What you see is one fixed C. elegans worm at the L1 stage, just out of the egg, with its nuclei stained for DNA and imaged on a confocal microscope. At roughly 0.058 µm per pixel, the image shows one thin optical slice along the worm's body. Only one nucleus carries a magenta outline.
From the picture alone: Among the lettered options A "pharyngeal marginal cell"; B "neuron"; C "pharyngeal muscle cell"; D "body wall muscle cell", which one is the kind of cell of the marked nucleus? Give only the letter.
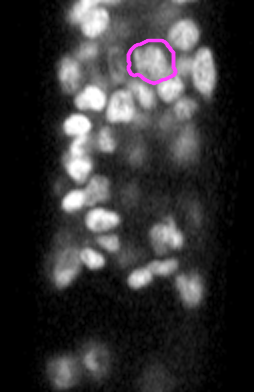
A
